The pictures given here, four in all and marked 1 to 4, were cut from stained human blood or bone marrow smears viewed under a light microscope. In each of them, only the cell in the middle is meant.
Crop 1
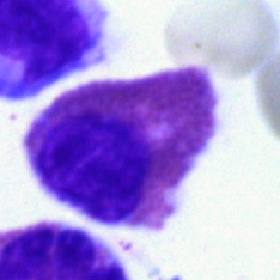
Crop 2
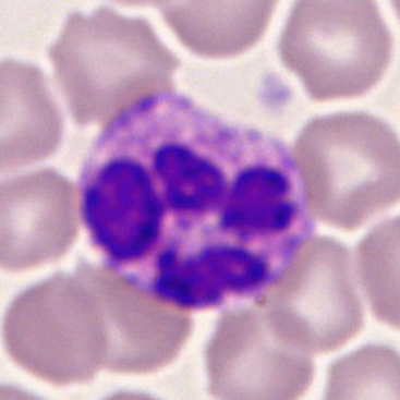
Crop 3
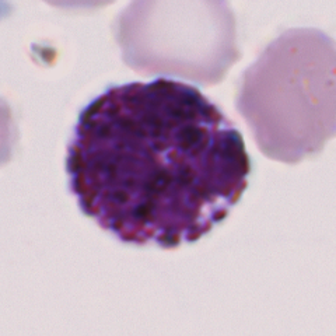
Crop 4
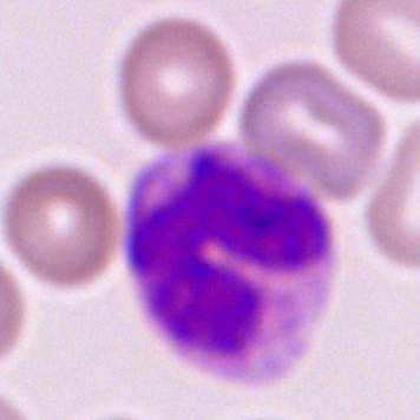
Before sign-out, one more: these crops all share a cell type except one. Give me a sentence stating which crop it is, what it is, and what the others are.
Crop 1 is the one to flag: it is an eosinophil, and the rest show basophils.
